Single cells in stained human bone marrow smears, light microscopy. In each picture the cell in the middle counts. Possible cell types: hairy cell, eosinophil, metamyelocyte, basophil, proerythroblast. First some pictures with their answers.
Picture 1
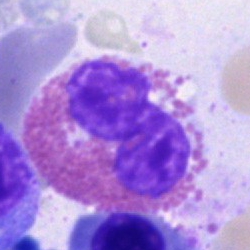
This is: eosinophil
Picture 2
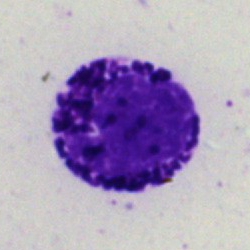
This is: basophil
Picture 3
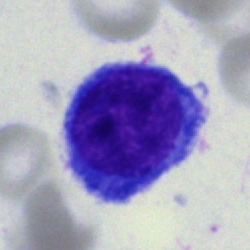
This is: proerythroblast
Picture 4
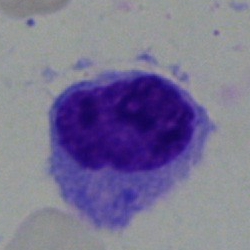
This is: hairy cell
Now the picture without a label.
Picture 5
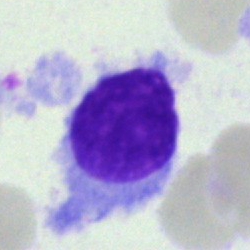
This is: hairy cell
